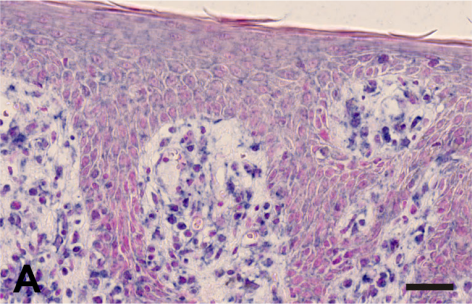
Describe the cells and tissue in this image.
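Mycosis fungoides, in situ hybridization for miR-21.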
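This is skin, with the epidermis of pink-stained keratinocytes running across the top and pale dermal areas reaching up between them. These dermal areas are crowded with infiltrating cells, many of which are stained dark blue, while the epidermis carries only a faint bluish tint.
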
